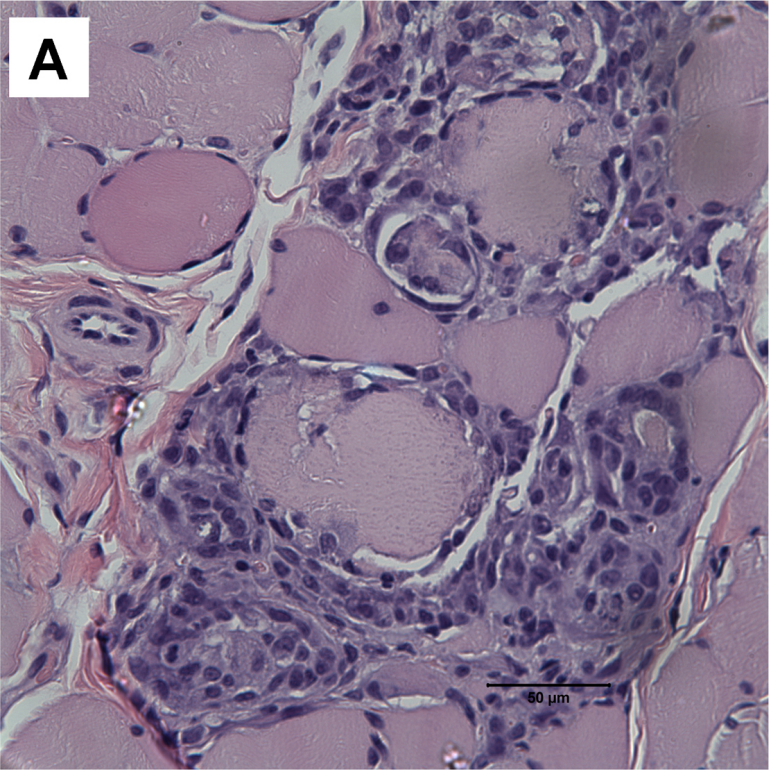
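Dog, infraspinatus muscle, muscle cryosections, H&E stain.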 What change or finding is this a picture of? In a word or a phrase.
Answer: Necrotic fibres undergoing phagocytosis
